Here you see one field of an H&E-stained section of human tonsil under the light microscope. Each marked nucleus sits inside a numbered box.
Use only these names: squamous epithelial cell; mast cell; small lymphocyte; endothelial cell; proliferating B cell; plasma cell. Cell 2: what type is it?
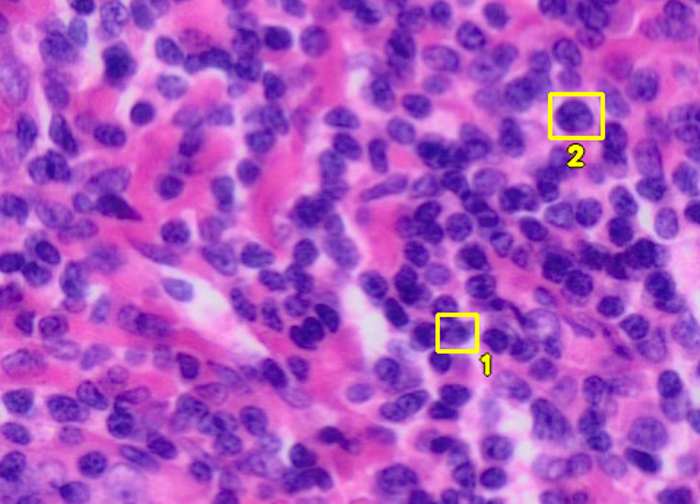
proliferating B cell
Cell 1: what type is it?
small lymphocyte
